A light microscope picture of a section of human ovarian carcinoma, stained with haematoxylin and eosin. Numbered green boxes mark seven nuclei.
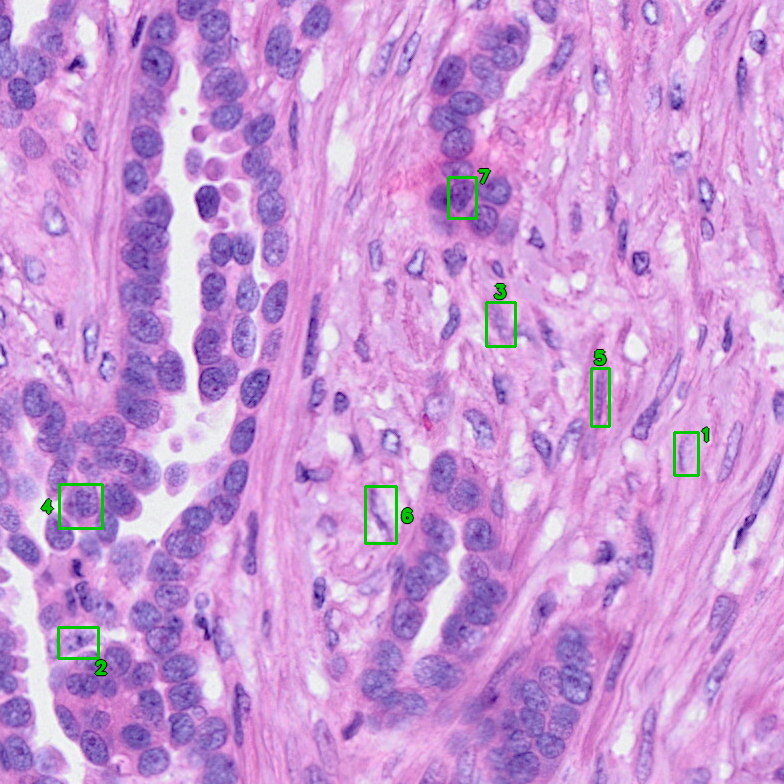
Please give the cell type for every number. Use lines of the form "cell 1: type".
cell 1: fibroblast
cell 2: macrophage or monocyte
cell 3: fibroblast
cell 4: carcinoma cell
cell 5: fibroblast
cell 6: fibroblast
cell 7: carcinoma cell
